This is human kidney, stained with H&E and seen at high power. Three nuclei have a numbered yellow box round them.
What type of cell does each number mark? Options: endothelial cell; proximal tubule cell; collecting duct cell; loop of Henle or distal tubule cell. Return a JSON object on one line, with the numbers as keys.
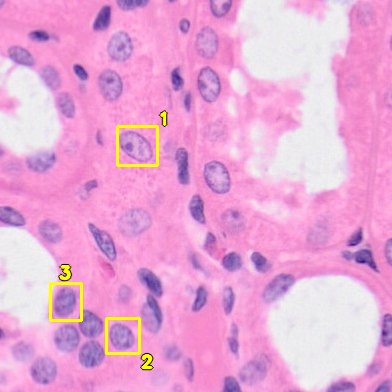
{"1": "proximal tubule cell", "2": "loop of Henle or distal tubule cell", "3": "loop of Henle or distal tubule cell"}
